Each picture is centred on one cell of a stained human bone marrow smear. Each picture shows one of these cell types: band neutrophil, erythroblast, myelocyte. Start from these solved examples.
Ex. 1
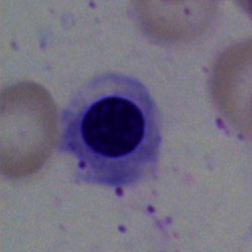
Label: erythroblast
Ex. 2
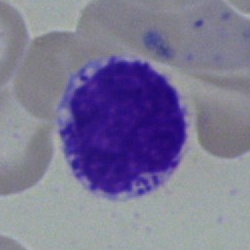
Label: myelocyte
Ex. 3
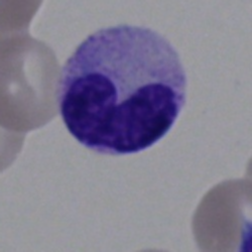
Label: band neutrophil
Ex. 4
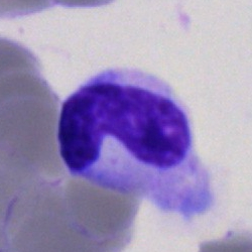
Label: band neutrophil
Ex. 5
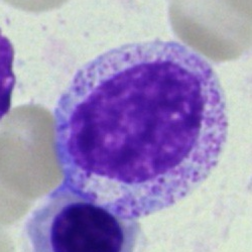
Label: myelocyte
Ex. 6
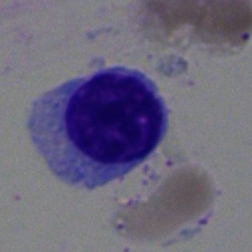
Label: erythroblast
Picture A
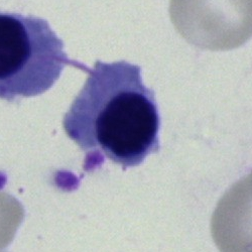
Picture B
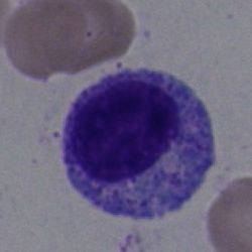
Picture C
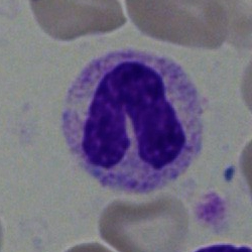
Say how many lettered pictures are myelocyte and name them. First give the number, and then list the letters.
1: B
